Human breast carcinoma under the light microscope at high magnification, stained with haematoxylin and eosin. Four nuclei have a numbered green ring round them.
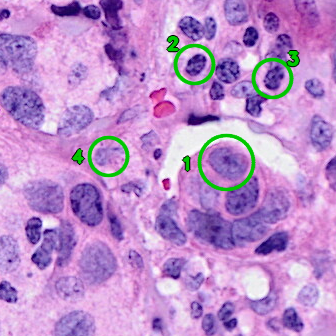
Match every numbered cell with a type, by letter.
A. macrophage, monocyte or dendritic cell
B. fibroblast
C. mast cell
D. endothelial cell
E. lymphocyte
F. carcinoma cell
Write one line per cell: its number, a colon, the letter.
1: F
2: E
3: E
4: A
